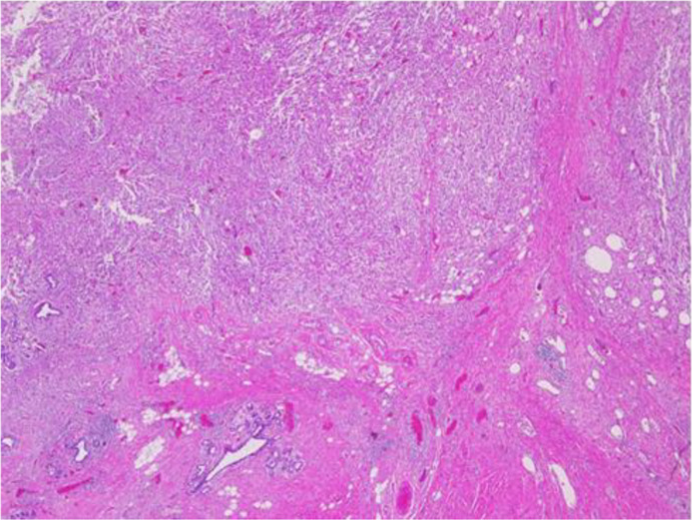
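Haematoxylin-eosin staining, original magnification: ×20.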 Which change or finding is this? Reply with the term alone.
Invasively proliferating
